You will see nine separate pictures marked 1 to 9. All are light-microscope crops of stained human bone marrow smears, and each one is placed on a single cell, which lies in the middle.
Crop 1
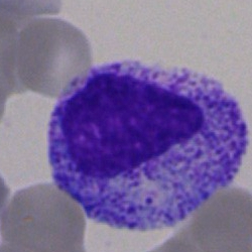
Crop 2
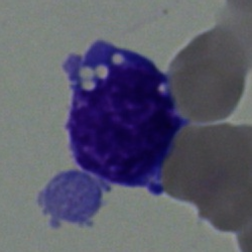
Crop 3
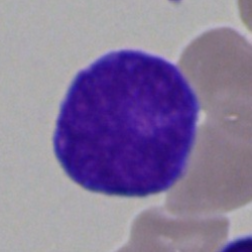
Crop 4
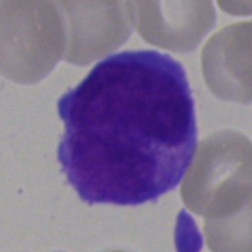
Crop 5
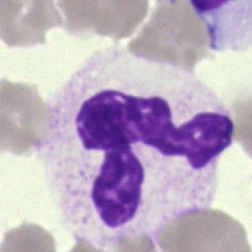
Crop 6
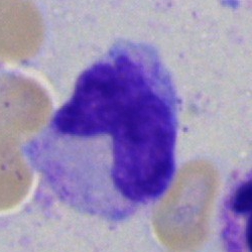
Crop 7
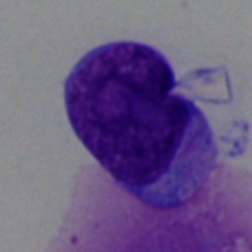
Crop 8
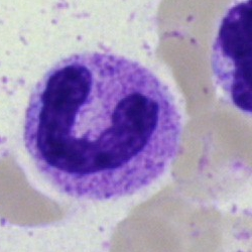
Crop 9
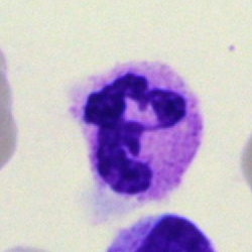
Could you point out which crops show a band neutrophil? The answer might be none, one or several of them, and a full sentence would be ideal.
It is crop 6 that shows a band neutrophil, and no other.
